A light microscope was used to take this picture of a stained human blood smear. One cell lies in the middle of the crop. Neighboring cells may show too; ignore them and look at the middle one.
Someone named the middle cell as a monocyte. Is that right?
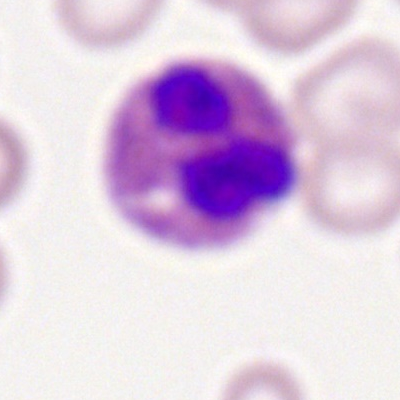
no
